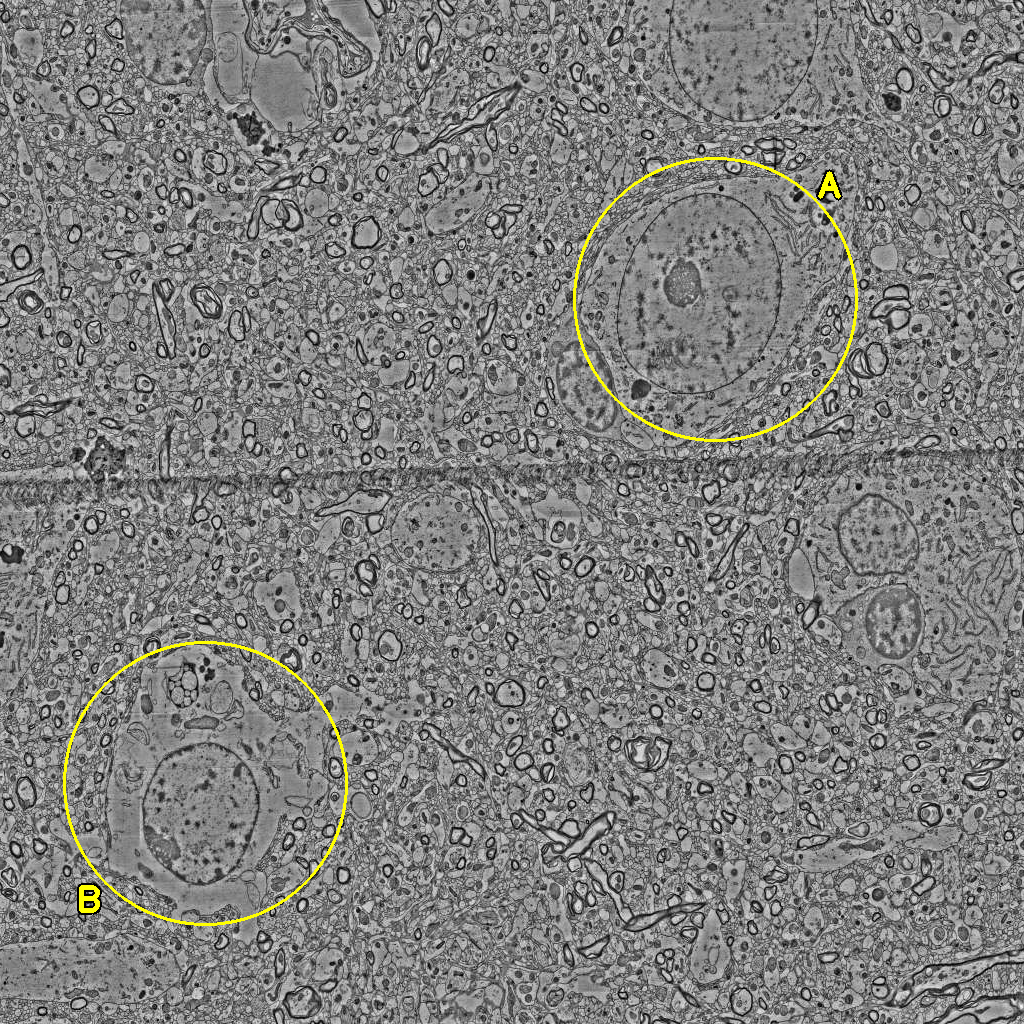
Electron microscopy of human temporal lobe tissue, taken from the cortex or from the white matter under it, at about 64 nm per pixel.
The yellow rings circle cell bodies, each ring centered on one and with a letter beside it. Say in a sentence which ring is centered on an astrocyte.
Ring B is centered on it.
